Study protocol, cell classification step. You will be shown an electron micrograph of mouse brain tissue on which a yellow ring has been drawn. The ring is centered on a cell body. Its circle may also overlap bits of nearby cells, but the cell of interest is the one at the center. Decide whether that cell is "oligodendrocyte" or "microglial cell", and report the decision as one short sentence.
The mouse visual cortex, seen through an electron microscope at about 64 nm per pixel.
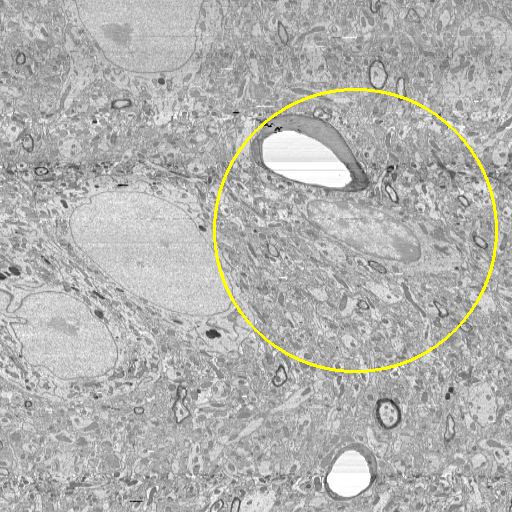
The marked cell is an oligodendrocyte.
